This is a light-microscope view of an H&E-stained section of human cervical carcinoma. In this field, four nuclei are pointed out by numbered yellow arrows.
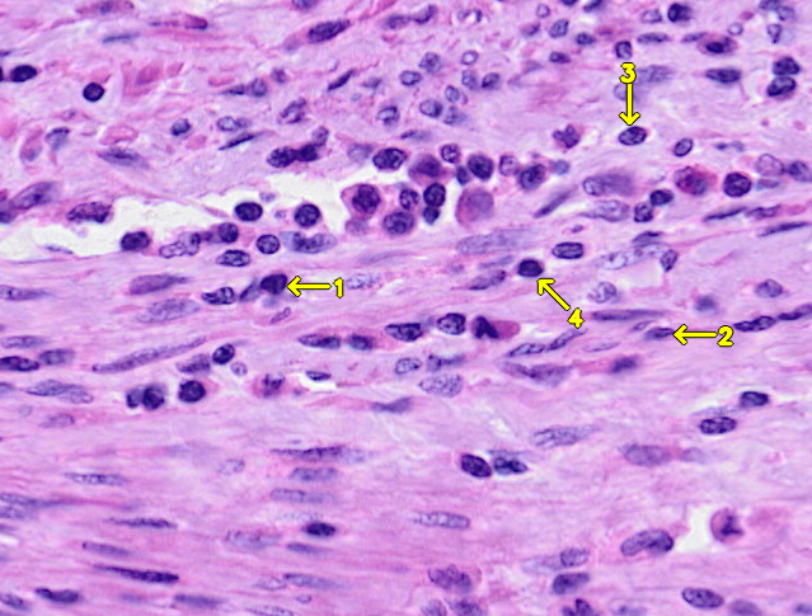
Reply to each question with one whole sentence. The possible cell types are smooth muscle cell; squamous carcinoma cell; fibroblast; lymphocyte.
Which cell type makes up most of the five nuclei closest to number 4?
Fibroblasts account for more than half of the five nuclei nearest to number 4.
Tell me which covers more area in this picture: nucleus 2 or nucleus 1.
Of the two, number 1 is bigger and takes up about 1.5 times the area of number 2.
